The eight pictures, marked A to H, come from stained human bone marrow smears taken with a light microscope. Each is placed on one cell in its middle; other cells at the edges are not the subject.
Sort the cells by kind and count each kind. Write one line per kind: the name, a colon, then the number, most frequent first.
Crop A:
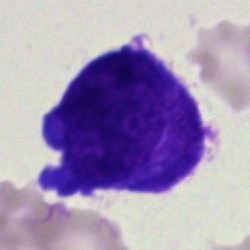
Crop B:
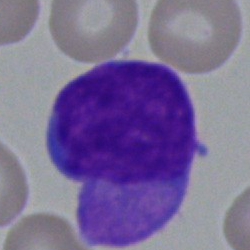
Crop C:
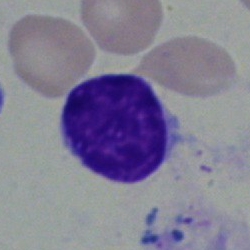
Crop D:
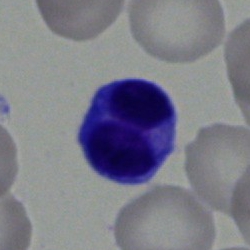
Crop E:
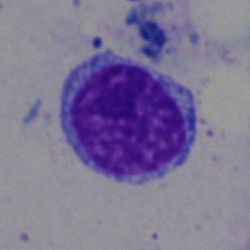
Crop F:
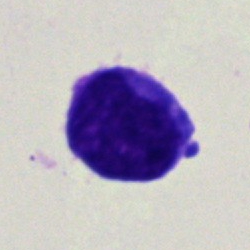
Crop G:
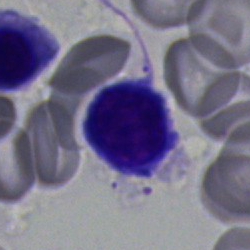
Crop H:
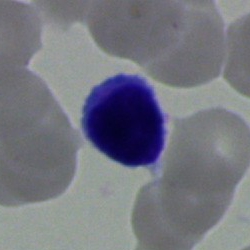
lymphocyte: 5
blast: 3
